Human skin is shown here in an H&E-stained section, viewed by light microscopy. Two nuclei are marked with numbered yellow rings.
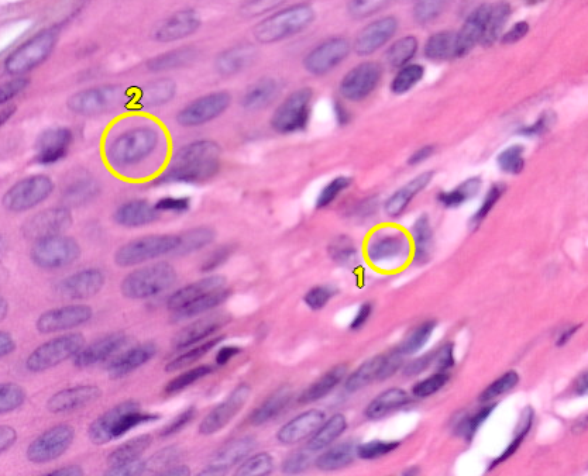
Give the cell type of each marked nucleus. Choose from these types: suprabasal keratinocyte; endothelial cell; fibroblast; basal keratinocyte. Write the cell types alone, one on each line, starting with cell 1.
endothelial cell
suprabasal keratinocyte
